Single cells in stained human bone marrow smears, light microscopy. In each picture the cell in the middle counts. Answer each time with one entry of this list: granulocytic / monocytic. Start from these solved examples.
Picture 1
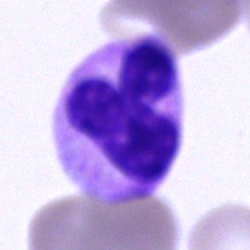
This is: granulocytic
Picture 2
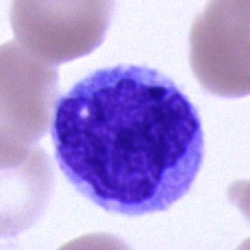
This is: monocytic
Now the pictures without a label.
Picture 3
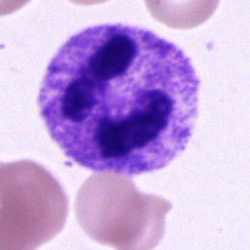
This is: granulocytic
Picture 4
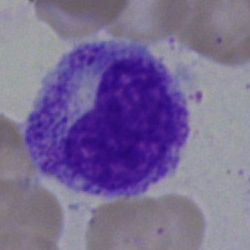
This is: granulocytic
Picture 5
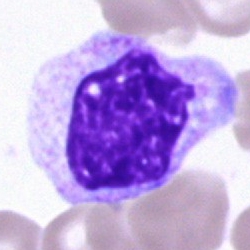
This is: monocytic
